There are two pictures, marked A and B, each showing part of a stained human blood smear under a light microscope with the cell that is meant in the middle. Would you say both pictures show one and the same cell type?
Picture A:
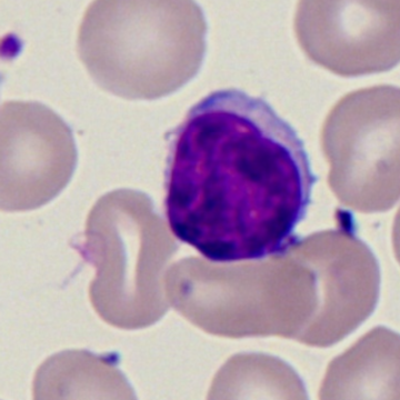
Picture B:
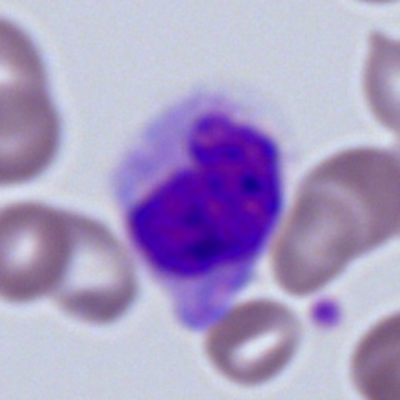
no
